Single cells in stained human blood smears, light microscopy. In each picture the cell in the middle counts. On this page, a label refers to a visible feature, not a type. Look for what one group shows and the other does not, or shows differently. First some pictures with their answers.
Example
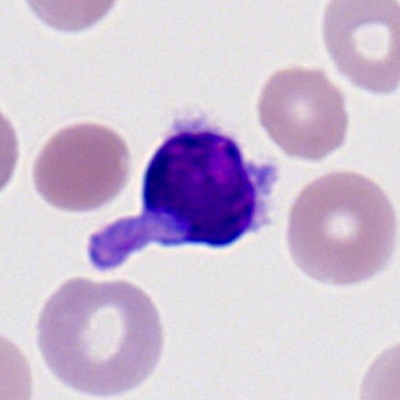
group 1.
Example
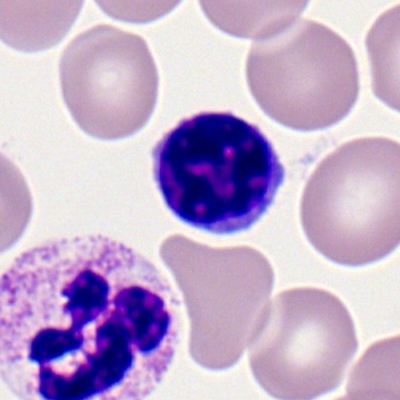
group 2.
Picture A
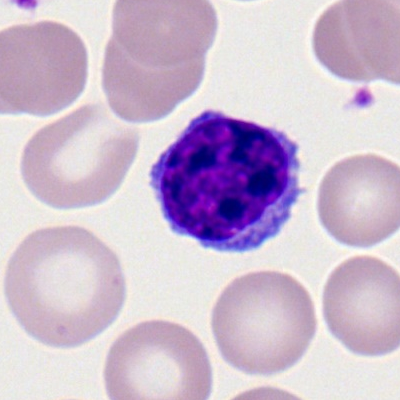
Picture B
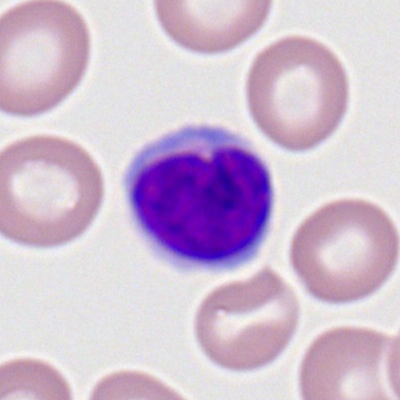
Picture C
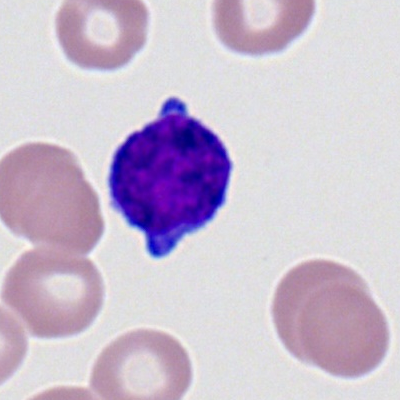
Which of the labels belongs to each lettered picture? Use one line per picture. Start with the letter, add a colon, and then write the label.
A: group 1.
B: group 2.
C: group 1.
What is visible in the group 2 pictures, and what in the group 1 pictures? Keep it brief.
In group 2: smooth outline. In group 1: ragged outline or projections.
